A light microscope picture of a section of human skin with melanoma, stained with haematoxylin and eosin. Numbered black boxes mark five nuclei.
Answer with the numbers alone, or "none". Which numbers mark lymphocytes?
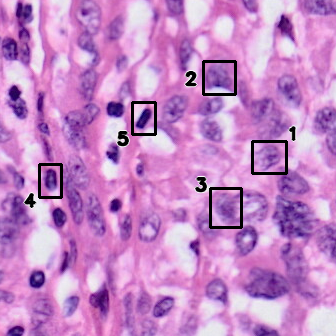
4, 5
